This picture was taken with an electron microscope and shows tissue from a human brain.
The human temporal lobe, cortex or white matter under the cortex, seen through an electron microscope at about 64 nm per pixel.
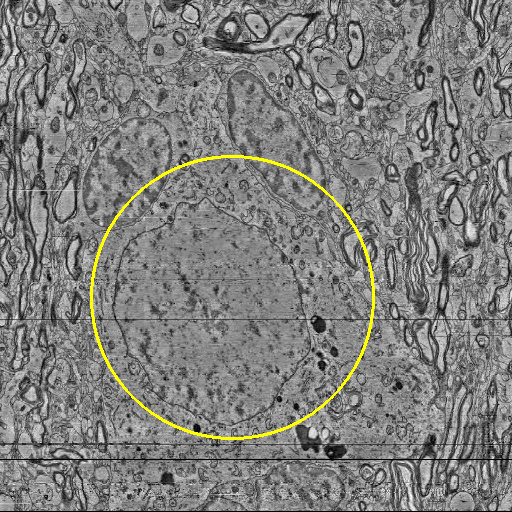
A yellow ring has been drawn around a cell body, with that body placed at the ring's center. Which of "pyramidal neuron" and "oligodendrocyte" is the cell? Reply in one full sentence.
In this picture, a pyramidal neuron is the cell at the center of the yellow ring.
